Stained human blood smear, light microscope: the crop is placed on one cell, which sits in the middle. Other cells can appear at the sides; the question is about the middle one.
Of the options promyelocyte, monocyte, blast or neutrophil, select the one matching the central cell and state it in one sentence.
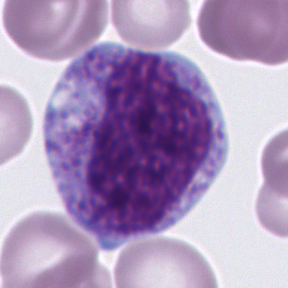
The crop shows a promyelocyte in its centre.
